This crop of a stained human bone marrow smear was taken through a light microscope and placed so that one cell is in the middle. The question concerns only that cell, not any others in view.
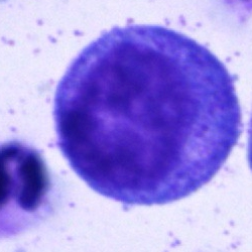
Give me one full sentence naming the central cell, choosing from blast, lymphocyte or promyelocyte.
In the middle of this smear crop, the cell is a promyelocyte.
